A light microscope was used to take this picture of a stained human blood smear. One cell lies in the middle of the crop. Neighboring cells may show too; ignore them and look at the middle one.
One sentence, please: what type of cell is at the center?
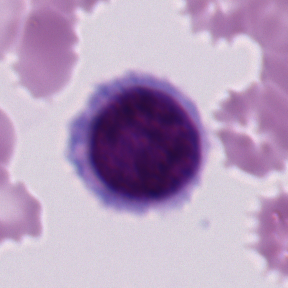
The cell at the heart of this crop is a hairy cell.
